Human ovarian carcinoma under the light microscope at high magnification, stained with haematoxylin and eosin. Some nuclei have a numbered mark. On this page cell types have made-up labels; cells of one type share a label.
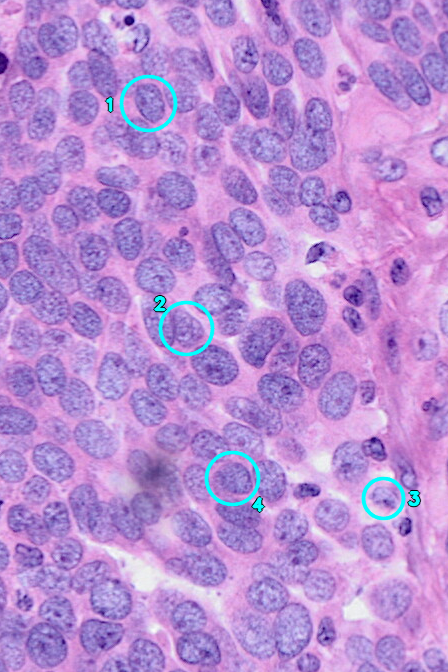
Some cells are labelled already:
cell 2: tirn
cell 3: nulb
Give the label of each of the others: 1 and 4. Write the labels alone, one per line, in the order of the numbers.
tirn
tirn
